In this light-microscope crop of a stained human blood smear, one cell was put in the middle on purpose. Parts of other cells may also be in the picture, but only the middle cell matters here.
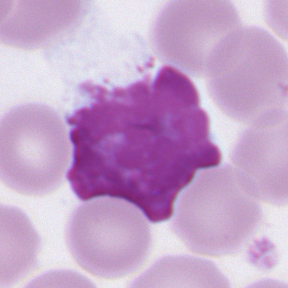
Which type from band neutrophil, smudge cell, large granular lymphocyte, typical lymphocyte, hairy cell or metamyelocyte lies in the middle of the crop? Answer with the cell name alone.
smudge cell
